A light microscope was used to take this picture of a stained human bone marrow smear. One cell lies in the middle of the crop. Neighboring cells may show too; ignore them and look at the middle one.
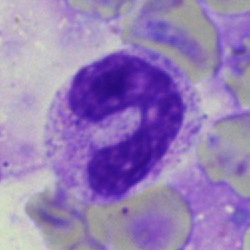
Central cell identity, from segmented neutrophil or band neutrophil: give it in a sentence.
Among the cells in view, the one in the middle is a band neutrophil.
